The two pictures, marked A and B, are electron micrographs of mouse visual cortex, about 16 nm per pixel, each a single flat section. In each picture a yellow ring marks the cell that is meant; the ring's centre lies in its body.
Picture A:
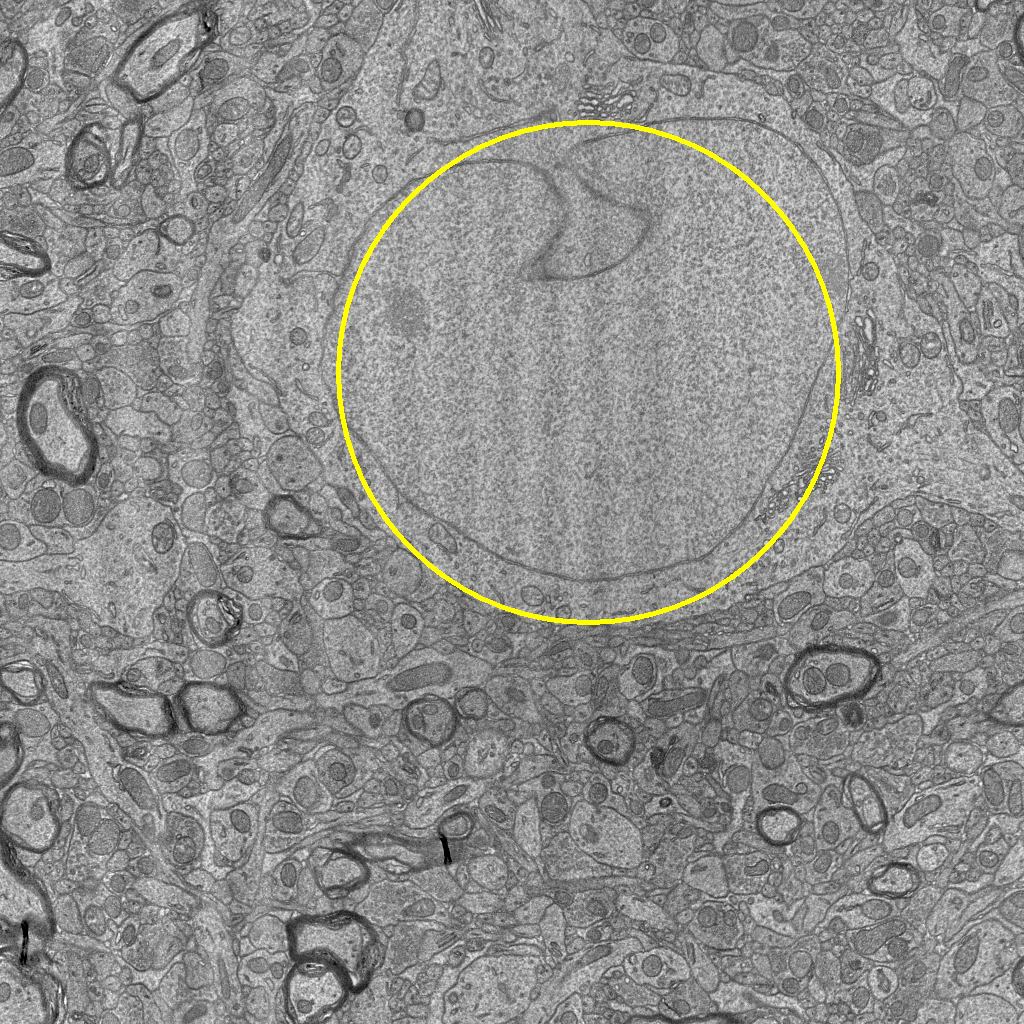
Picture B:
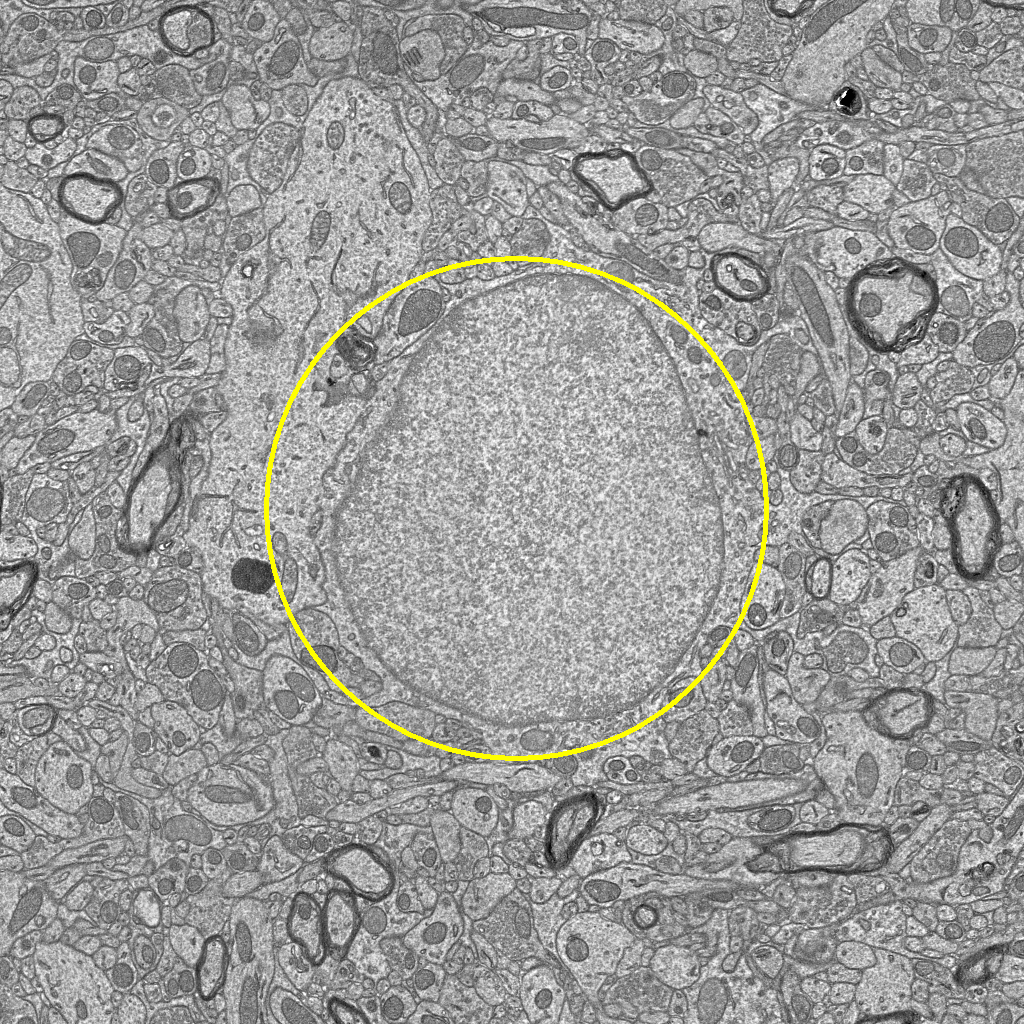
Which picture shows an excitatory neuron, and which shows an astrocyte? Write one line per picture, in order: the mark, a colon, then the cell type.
A: excitatory neuron
B: astrocyte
